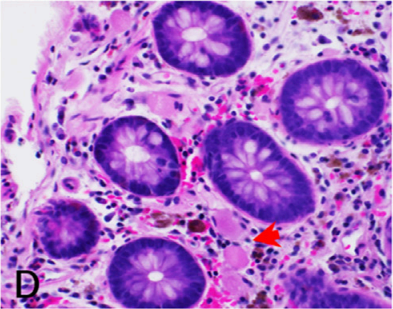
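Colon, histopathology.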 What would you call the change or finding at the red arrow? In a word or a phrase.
Fibrin-appearing eosinophilic amorphous deposition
